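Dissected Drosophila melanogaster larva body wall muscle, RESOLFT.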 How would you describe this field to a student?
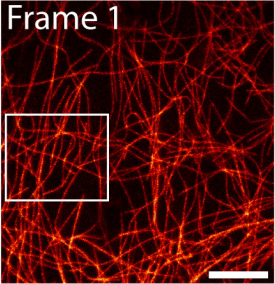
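A dense meshwork of thin, red-orange fluorescent filaments runs across a dark background, many of them long and gently curving, crossing one another at varied angles. Some run mostly vertically in parallel bundles while others arc across them, leaving dark gaps between.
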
